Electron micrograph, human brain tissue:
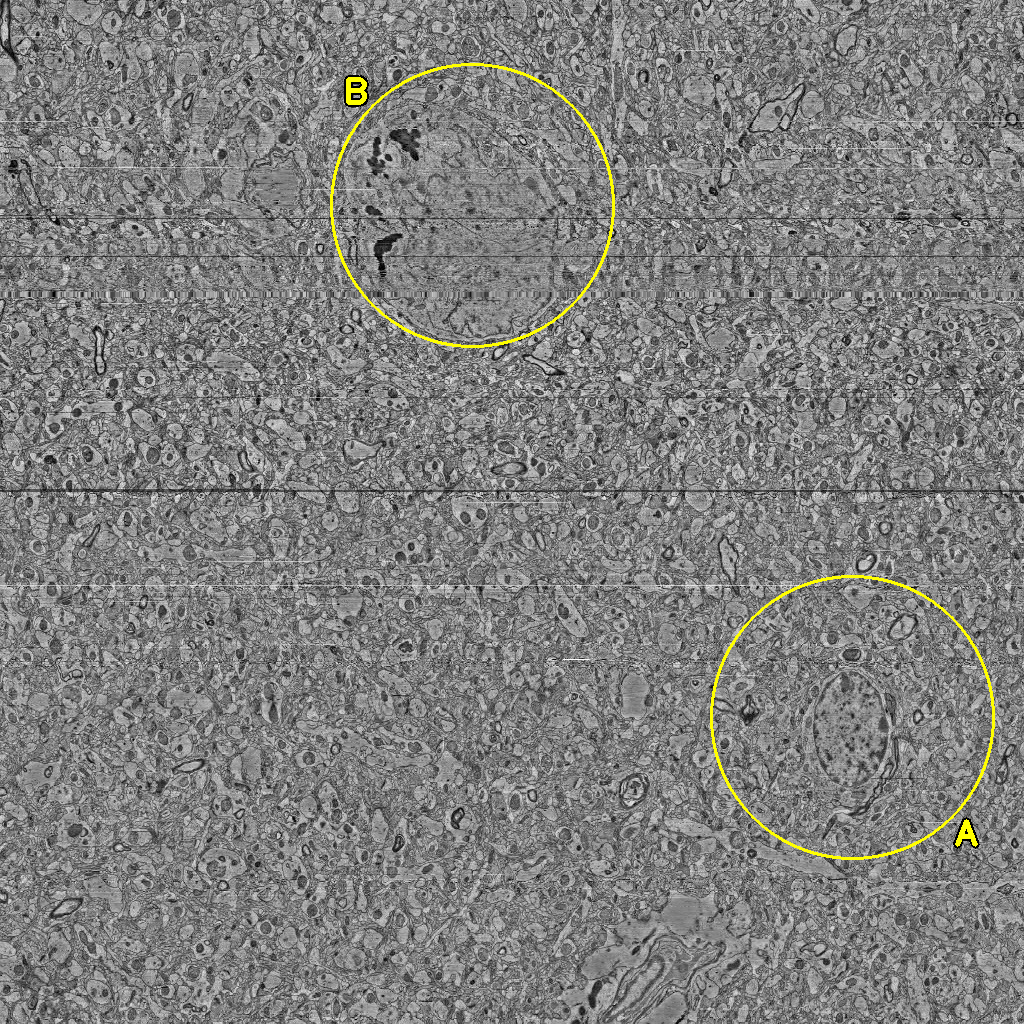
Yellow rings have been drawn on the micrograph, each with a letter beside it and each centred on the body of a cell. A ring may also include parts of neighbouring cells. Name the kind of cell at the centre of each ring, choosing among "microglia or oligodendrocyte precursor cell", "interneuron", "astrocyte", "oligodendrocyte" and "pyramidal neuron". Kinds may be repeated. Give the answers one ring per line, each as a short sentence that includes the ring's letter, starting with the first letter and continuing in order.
Ring A is placed on a microglial cell or oligodendrocyte precursor cell.
Ring B is placed on an interneuron.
